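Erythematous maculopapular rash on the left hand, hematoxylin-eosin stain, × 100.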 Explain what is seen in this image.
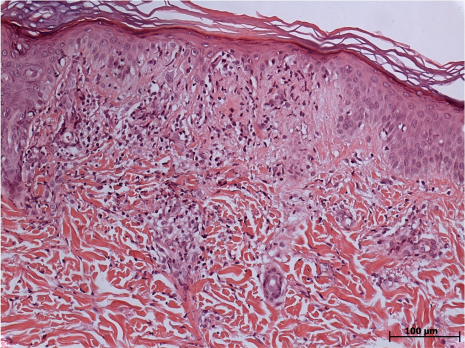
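This is a section of skin with epidermis and upper dermis, stained pink and purple. On the surface lies a thick, loosely layered, wavy keratin layer. The epidermis below it is made of squamous cells with purple nuclei, and its lower border is irregular and blurred where it meets the dermis. The upper dermis holds many small inflammatory cells with dark nuclei, gathered around small vessels and scattered between the fibres. Deeper down, pink wavy collagen bundles predominate, with fewer cells between them.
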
